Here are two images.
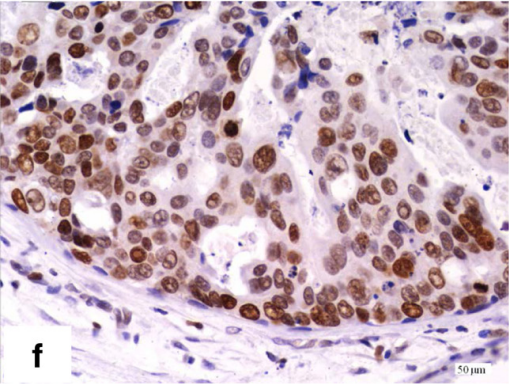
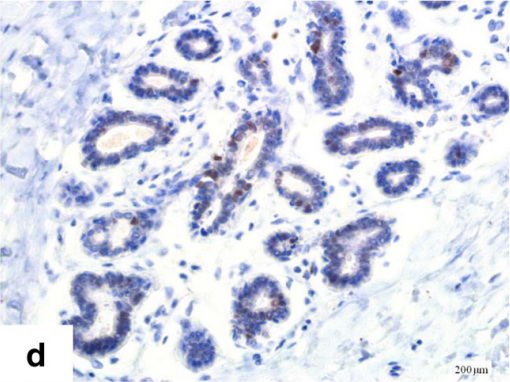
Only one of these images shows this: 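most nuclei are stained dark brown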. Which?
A: The first image.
